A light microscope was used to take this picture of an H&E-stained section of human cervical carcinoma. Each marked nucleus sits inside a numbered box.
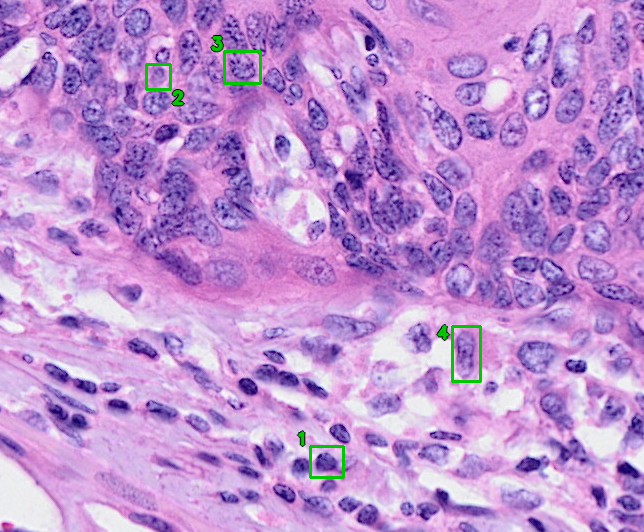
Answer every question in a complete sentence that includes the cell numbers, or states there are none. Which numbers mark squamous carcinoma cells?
Cells 2 and 3 are squamous carcinoma cells by cell type.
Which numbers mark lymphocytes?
Only one choice fits: cell 1 is a lymphocyte, and no other.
